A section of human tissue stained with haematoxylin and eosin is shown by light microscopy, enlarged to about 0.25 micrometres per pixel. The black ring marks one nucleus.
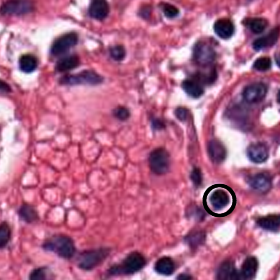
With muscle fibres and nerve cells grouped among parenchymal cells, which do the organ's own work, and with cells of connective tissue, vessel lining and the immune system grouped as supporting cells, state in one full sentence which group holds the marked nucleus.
The marked nucleus is counted as that of a supporting cell.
